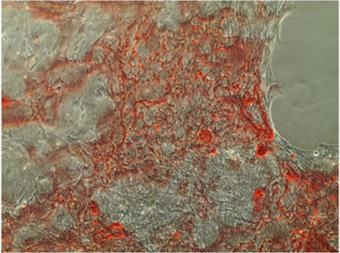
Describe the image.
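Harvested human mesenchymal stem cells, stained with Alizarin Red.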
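The cells form a dense, multilayered sheet in which individual outlines are hard to make out. A red granular deposit runs through the layer in a branching, net-like pattern. In places the red material gathers into small rounded nodules. An unstained, smoother area lies at one edge of the field.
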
